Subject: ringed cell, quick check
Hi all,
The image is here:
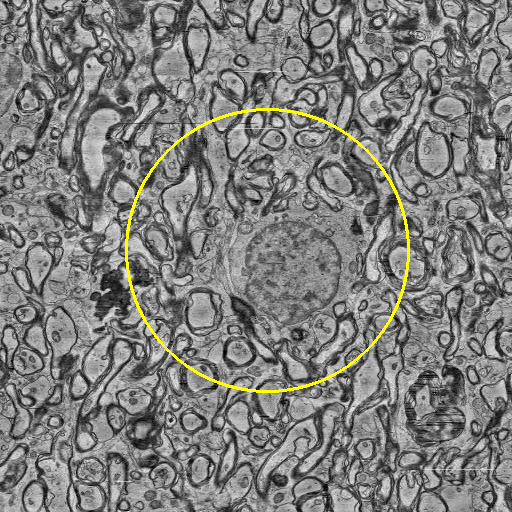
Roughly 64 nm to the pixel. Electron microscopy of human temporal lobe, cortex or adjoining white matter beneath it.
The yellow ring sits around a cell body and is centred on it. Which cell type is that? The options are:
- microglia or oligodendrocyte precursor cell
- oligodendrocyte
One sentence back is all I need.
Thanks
That ringed cell is an oligodendrocyte.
